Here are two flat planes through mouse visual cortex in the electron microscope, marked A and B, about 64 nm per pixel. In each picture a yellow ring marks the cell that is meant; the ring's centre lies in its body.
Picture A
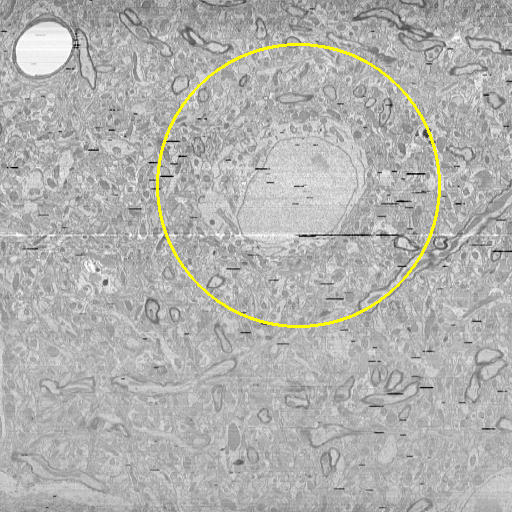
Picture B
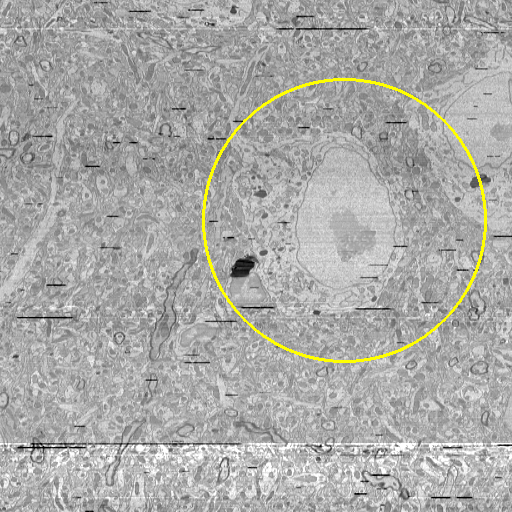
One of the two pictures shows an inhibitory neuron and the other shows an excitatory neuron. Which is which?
In picture A the cell is an excitatory neuron; in picture B, an inhibitory neuron.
